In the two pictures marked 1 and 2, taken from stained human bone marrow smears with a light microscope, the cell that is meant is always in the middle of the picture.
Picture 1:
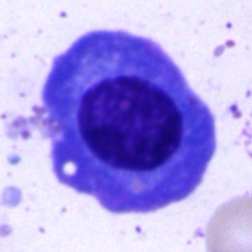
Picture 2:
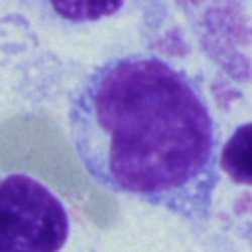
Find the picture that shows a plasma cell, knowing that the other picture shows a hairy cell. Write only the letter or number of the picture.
1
